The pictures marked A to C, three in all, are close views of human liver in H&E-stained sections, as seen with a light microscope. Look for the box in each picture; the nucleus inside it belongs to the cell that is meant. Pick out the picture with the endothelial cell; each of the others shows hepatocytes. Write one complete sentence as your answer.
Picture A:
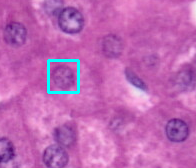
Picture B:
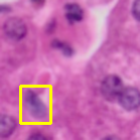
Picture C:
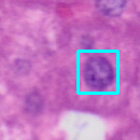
The picture with the endothelial cell is B.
